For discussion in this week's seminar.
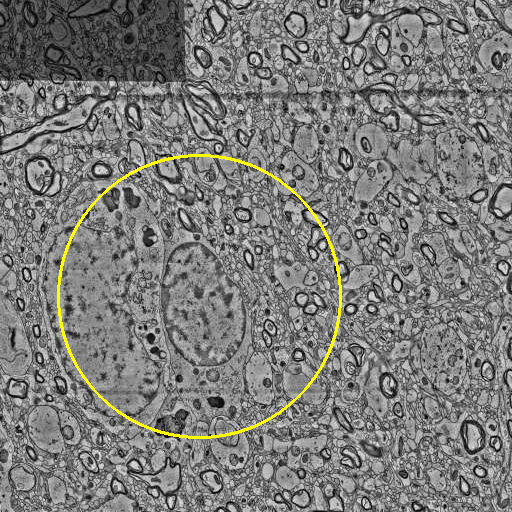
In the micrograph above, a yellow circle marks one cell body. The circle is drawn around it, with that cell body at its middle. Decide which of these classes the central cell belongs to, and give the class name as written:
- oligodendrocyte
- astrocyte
oligodendrocyte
